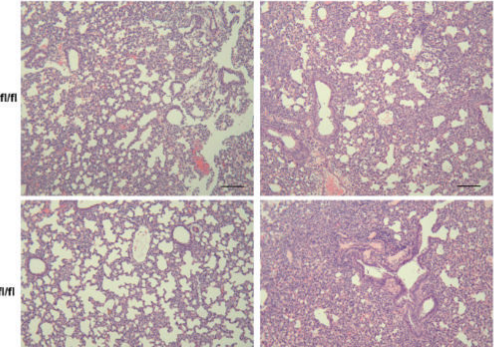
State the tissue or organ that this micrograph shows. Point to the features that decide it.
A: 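Thin-walled air spaces form a fine lace-like network. Scattered tubular airways lined by epithelium and blood vessels lie among the air spaces. The answer: lung.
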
